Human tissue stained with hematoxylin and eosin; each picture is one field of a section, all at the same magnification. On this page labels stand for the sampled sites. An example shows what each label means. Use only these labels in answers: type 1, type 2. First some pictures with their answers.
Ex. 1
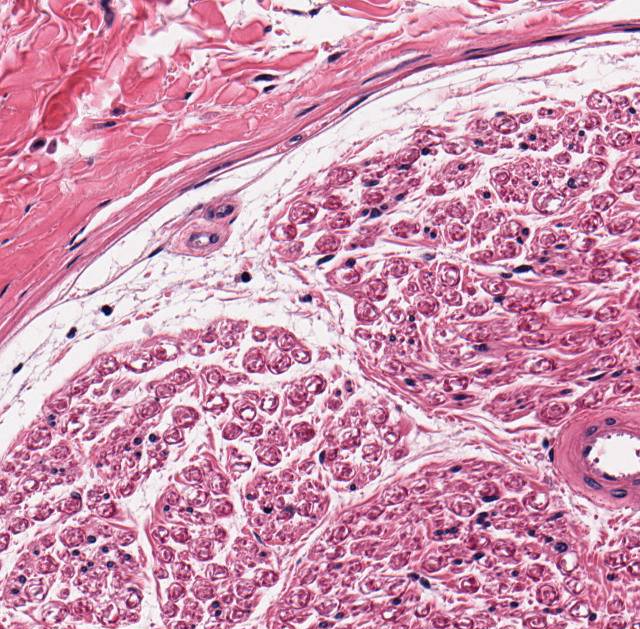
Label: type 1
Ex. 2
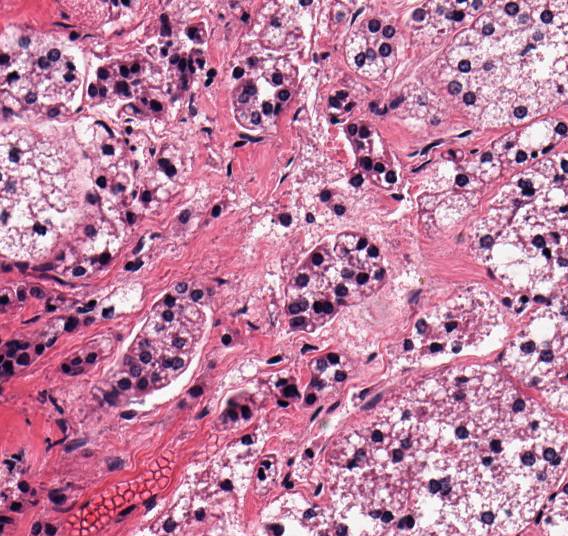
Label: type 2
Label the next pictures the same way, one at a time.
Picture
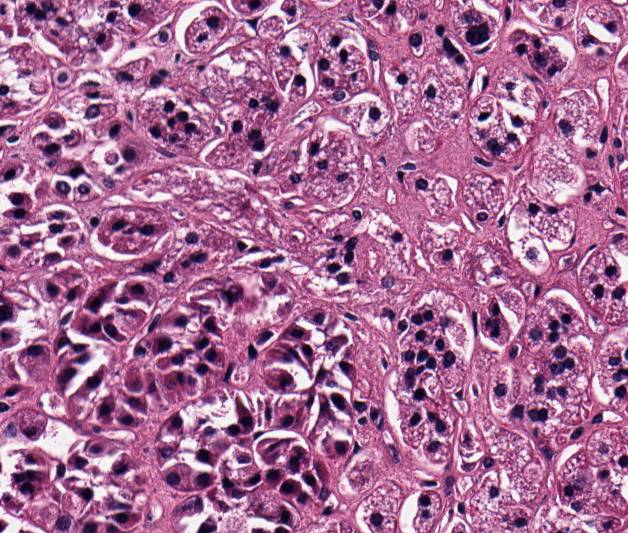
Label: type 2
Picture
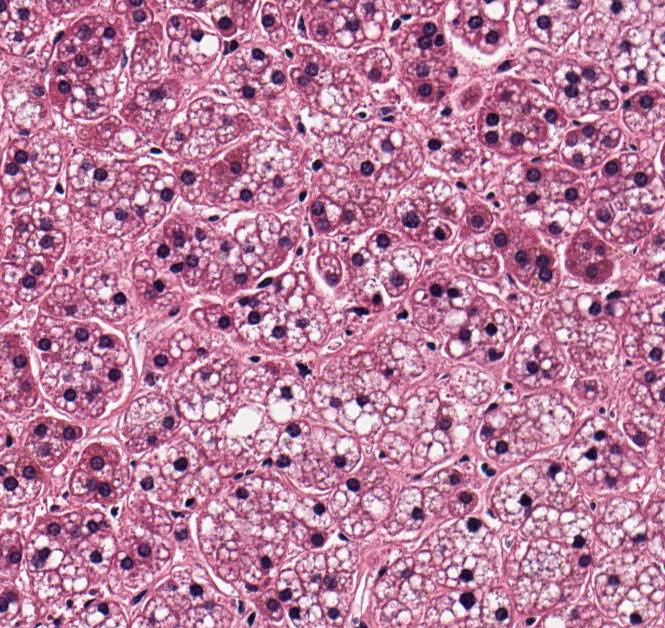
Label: type 2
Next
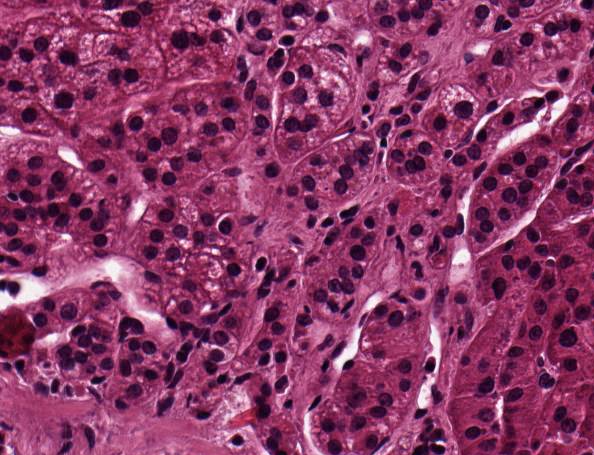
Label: type 2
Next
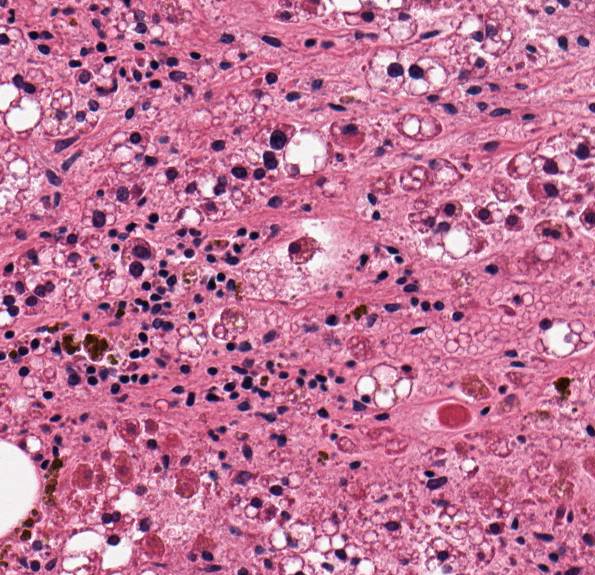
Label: type 2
